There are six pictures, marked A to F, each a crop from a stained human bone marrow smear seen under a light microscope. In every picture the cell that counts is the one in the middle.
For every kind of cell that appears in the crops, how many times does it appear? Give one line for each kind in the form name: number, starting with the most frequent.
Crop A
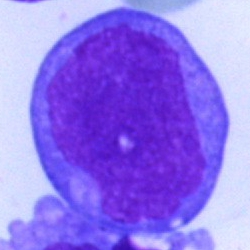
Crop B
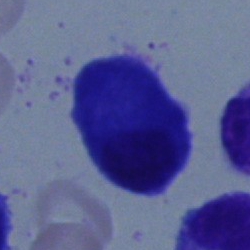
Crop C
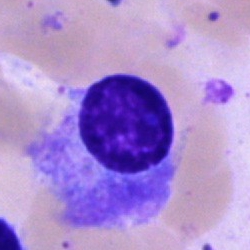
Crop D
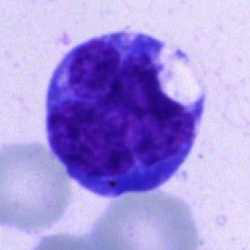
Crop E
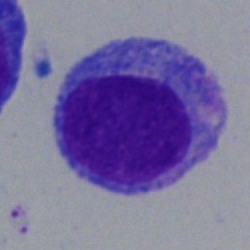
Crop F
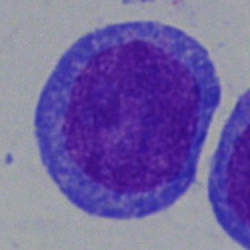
blast: 4
plasma cell: 2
